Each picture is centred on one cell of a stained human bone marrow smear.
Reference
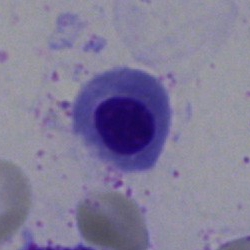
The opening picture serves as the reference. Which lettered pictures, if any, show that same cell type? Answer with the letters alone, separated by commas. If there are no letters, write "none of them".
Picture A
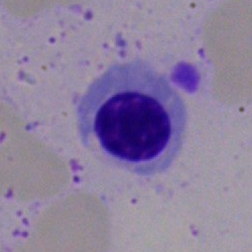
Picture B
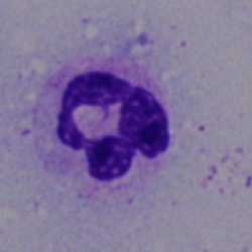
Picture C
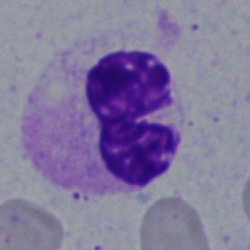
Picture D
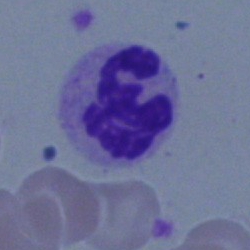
A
